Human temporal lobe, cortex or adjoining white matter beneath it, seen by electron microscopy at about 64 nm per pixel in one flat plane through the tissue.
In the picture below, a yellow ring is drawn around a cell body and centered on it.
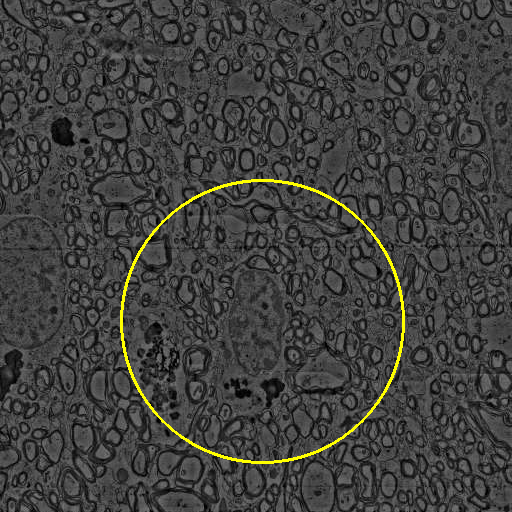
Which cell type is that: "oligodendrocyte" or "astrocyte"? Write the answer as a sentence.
The cell centered in the ring is an oligodendrocyte.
